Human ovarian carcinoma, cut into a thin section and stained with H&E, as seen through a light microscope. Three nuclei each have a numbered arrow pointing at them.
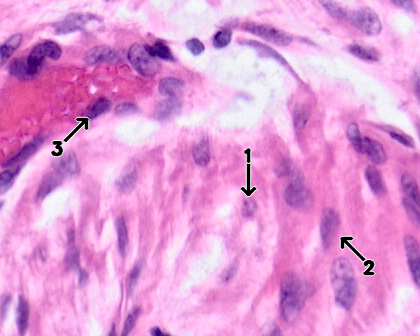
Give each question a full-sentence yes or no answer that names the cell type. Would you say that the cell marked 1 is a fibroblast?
Yes, the cell given number 1 is a fibroblast.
